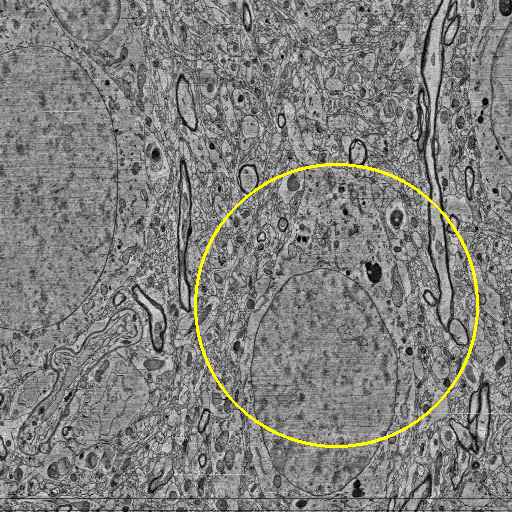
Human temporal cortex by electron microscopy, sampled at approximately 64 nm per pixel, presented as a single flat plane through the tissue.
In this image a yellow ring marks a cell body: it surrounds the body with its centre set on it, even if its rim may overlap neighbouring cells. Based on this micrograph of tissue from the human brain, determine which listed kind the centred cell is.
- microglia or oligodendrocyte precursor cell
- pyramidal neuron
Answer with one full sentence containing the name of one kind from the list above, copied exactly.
It is a pyramidal neuron whose body the yellow ring encloses at its centre.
